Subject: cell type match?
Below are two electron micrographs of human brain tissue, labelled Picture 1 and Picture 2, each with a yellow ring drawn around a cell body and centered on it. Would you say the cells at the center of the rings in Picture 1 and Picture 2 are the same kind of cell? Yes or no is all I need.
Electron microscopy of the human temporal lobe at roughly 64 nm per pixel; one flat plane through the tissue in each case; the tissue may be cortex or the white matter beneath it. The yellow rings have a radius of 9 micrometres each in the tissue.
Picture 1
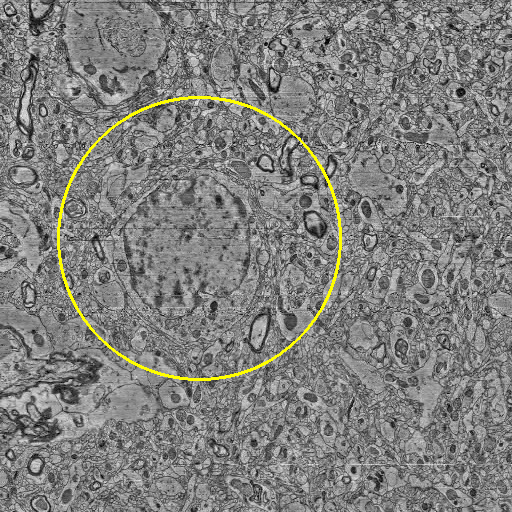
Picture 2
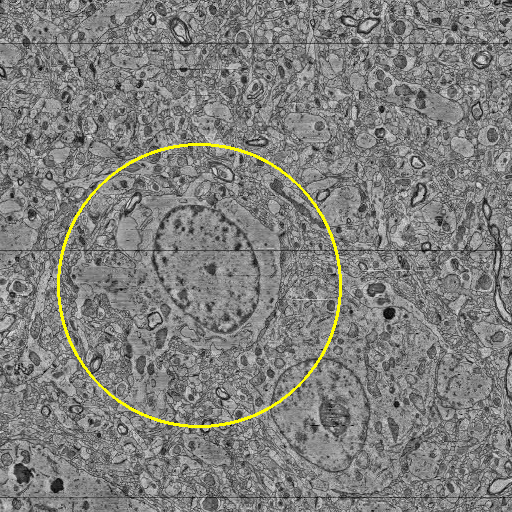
no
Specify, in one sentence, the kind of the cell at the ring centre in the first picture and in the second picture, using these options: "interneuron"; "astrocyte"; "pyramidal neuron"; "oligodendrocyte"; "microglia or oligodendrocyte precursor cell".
So the first is an interneuron, the second an astrocyte.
